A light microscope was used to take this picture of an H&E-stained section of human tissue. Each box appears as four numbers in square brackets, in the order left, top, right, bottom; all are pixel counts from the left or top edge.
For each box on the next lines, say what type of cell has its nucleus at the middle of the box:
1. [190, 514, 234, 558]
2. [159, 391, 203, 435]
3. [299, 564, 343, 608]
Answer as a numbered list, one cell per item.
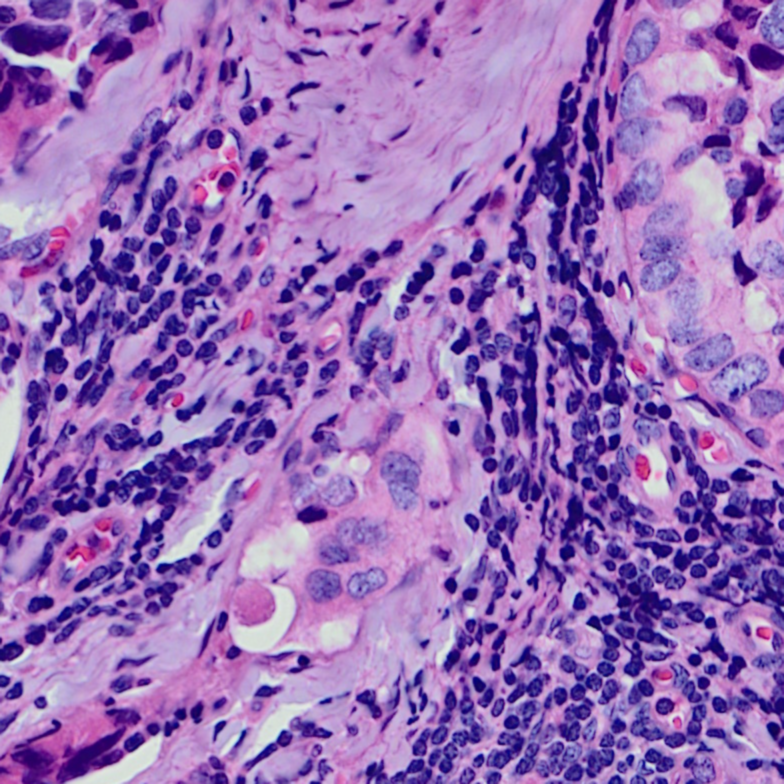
1. lymphocyte
2. lymphocyte
3. carcinoma cell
